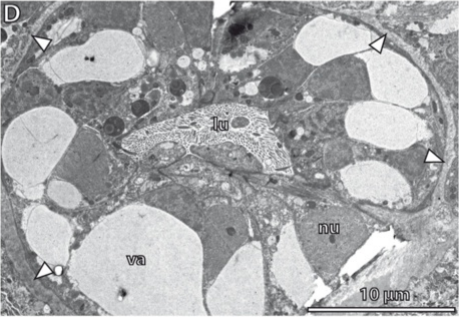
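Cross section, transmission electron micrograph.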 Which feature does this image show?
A: stomochord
